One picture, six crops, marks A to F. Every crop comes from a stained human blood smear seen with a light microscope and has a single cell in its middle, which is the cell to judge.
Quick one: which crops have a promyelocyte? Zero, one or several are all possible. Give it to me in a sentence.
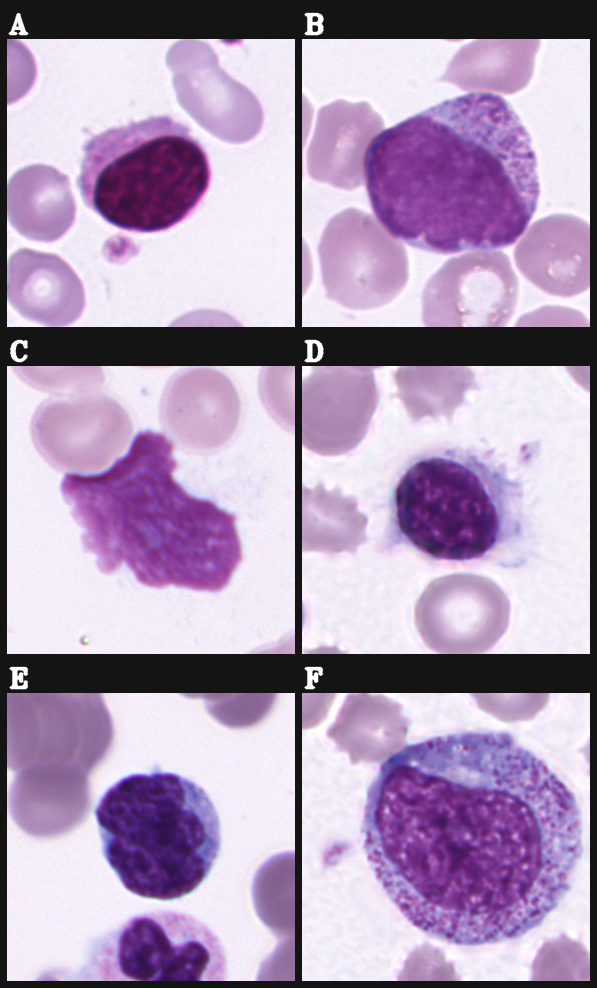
Crops B and F are identified as showing promyelocytes.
